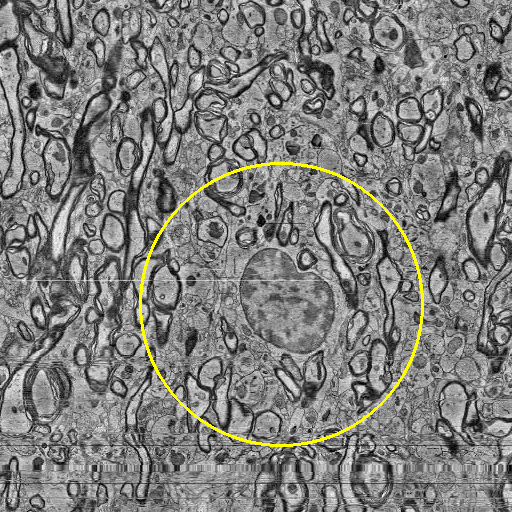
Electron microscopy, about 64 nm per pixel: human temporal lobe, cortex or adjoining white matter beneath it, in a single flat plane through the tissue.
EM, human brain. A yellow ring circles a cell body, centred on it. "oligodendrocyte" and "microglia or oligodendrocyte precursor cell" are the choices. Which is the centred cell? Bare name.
microglia or oligodendrocyte precursor cell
